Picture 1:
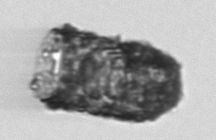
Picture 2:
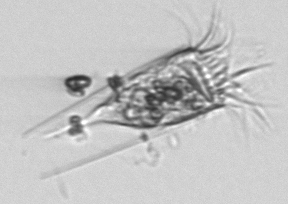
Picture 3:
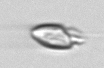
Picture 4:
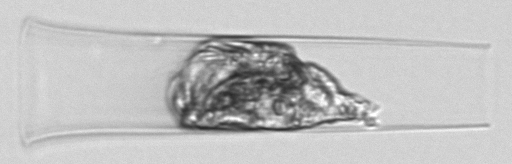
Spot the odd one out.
Picture 3 (Kapelodinium among tintinnids).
